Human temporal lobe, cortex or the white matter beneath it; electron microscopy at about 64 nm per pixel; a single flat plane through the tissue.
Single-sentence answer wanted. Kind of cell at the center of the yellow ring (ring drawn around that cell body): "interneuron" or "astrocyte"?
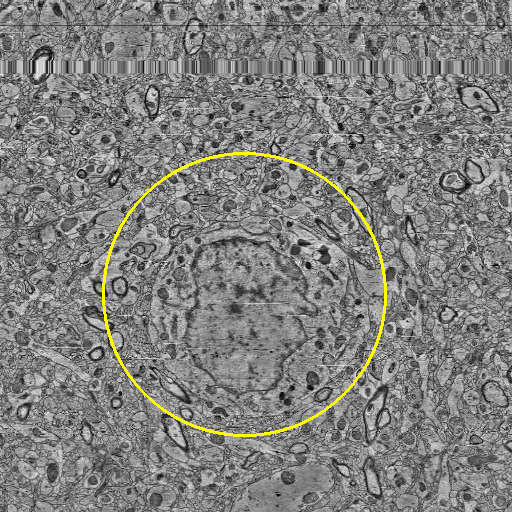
The cell centered in the ring is an interneuron.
